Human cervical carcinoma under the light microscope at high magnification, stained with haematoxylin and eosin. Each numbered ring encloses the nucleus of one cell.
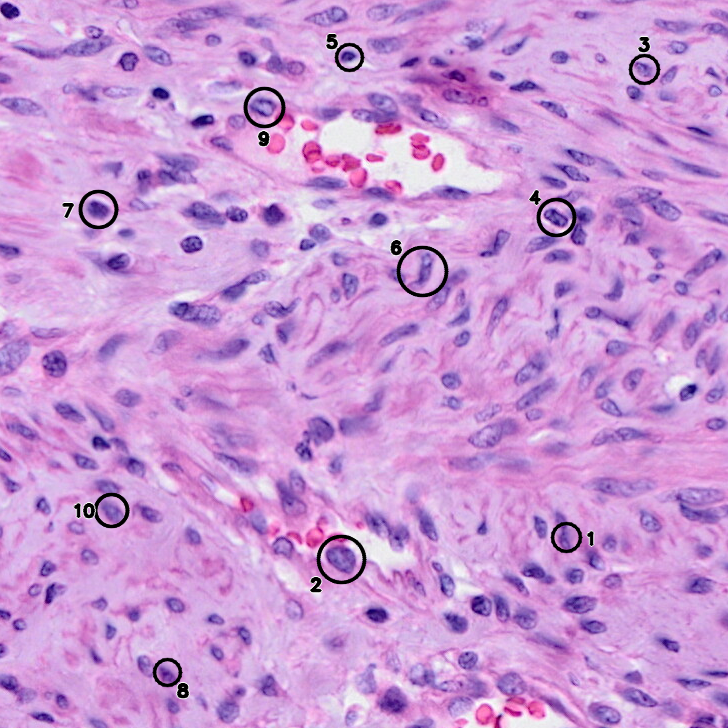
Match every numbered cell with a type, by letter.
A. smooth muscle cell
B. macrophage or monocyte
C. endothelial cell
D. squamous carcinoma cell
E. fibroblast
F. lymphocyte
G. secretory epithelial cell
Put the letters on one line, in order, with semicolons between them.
A; C; A; F; F; A; F; A; C; A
